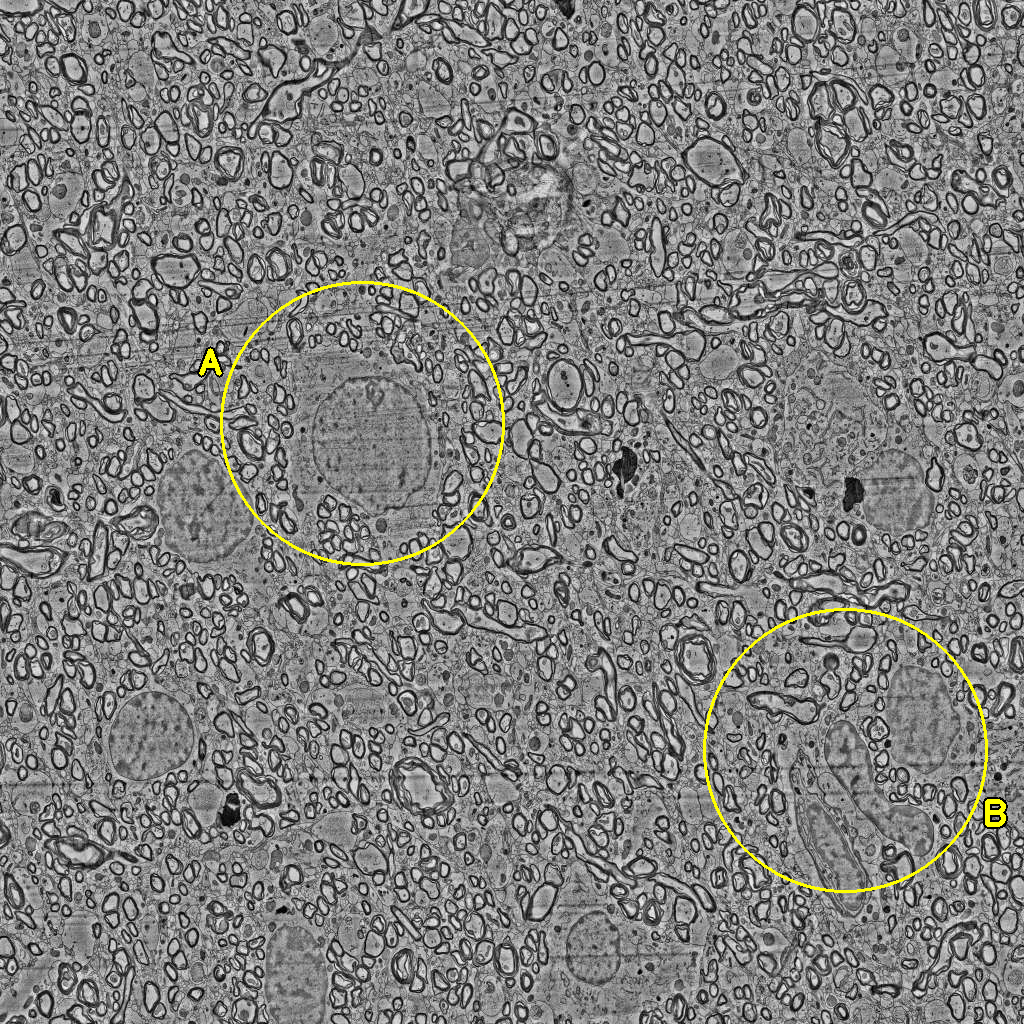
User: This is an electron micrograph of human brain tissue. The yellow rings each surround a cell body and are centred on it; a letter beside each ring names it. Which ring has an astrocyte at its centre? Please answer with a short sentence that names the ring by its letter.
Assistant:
Ring A has it at its centre.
